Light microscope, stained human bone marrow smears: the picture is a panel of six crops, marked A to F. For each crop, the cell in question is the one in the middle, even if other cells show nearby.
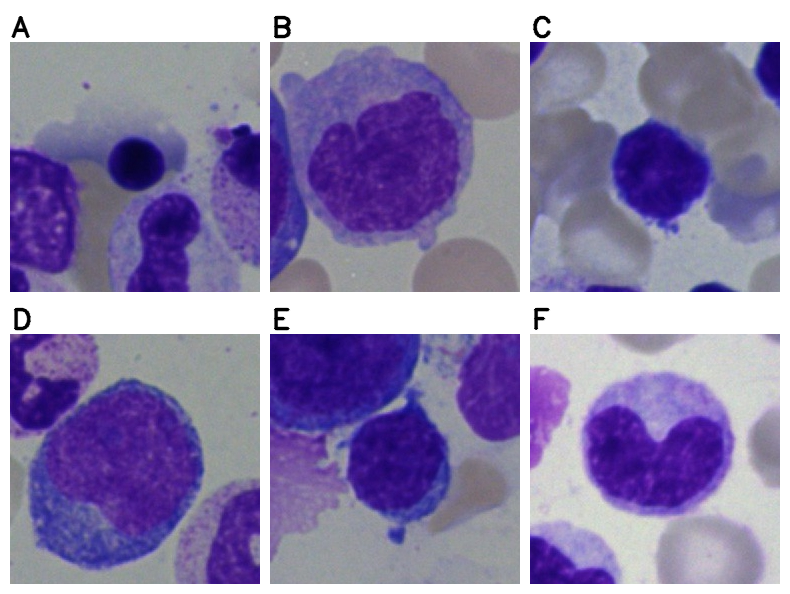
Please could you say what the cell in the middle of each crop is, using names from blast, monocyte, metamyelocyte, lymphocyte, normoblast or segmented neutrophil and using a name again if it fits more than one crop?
A: normoblast
B: monocyte
C: lymphocyte
D: blast
E: lymphocyte
F: metamyelocyte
